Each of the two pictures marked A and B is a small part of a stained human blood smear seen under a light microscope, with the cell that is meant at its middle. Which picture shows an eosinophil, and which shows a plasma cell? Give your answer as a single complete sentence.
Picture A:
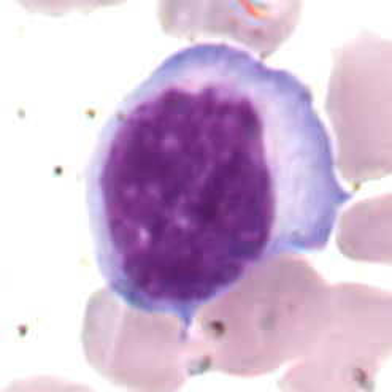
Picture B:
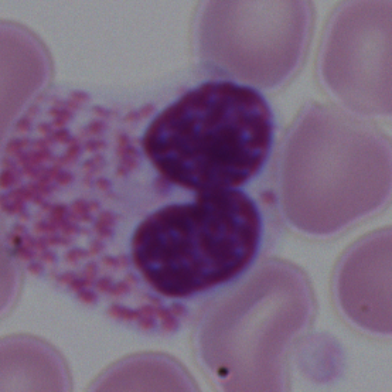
Picture A is of a plasma cell, and picture B is of an eosinophil.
